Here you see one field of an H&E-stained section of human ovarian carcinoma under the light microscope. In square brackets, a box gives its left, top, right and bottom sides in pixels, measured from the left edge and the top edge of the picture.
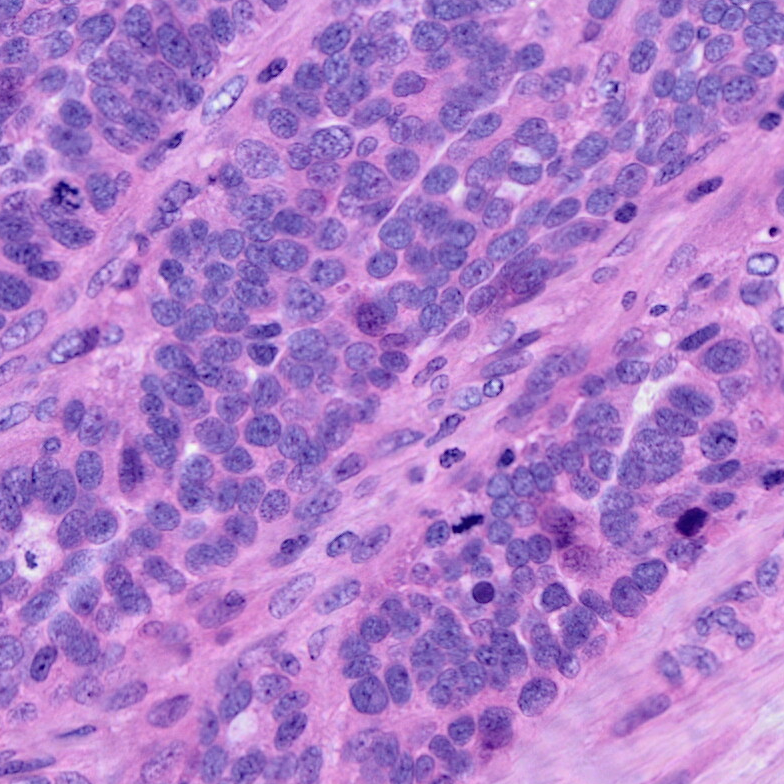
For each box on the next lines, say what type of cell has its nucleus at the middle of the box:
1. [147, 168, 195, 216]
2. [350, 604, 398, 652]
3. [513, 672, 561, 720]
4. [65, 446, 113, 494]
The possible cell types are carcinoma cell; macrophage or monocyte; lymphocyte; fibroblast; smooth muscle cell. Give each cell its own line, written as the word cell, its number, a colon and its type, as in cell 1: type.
cell 1: fibroblast
cell 2: carcinoma cell
cell 3: carcinoma cell
cell 4: carcinoma cell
